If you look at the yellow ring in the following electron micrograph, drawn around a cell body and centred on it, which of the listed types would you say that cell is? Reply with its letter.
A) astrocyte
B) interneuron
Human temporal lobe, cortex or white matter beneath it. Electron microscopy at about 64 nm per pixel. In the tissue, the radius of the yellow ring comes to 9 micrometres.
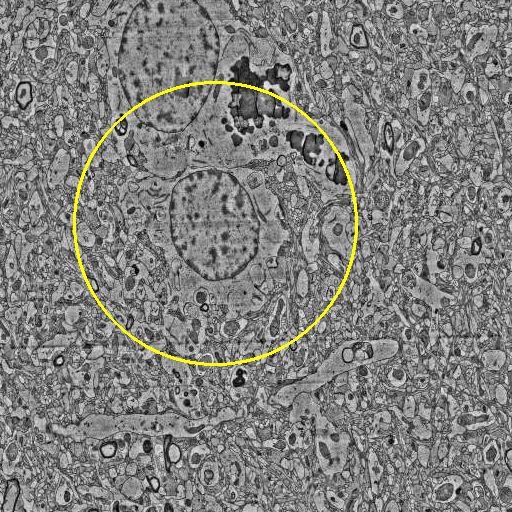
A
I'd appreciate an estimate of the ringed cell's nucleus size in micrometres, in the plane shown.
In this plane, roughly 7 by 6 micrometres.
